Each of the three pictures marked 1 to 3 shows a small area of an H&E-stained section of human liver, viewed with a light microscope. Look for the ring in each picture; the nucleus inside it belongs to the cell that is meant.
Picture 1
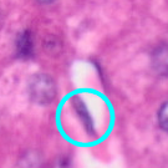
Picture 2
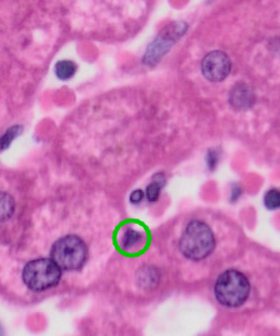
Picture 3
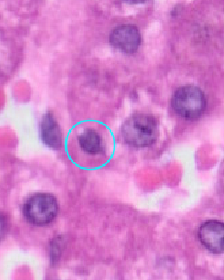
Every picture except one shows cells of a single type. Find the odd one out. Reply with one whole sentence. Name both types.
The others show “fibroblasts or stellate cells”, but picture 1 shows a Kupffer cell.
